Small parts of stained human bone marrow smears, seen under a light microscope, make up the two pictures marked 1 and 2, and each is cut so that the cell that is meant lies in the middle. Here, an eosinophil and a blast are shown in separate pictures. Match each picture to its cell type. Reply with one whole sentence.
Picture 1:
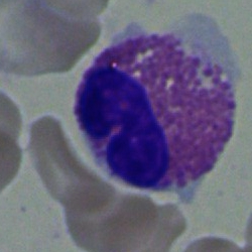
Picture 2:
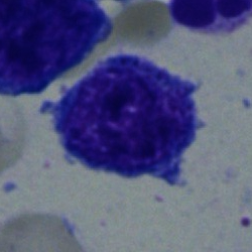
In picture 1 the cell is an eosinophil; in picture 2, a blast.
